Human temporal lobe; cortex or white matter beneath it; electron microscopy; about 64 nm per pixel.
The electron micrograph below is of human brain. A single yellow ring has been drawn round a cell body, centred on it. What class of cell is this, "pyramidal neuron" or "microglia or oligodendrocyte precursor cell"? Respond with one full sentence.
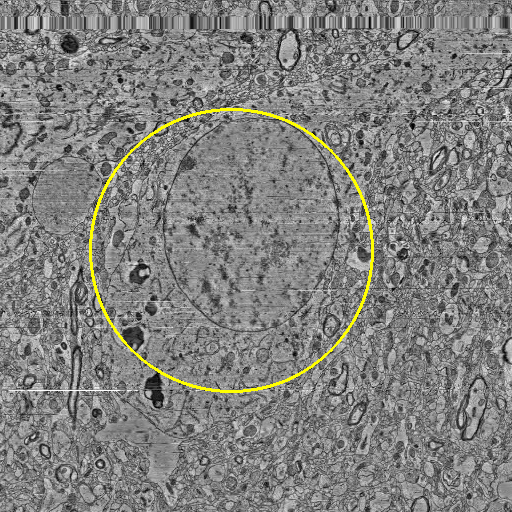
In the micrograph, the cell centred inside the yellow ring is a pyramidal neuron.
